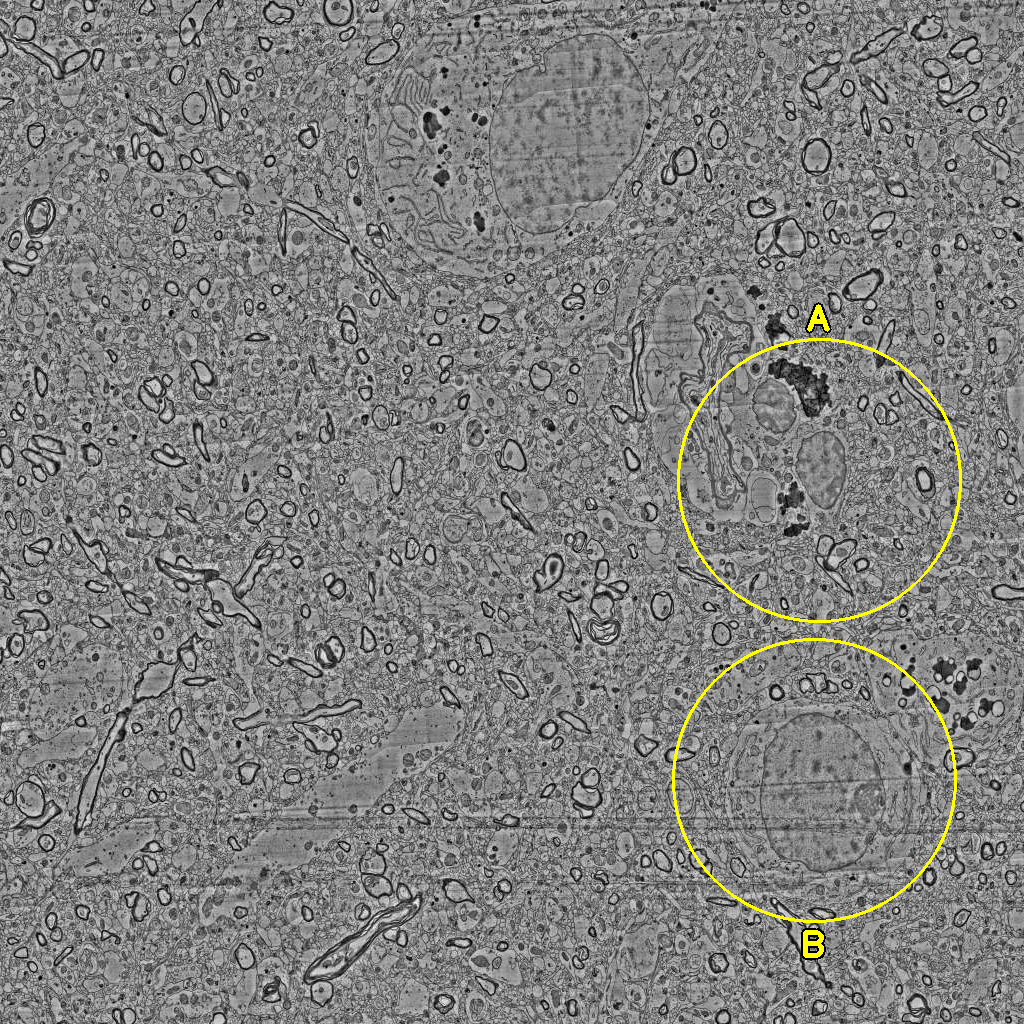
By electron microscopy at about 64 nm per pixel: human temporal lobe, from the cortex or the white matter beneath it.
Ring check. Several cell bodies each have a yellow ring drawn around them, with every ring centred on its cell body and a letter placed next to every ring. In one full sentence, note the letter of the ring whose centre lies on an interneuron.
At the centre of ring B lies the cell asked for in this check.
